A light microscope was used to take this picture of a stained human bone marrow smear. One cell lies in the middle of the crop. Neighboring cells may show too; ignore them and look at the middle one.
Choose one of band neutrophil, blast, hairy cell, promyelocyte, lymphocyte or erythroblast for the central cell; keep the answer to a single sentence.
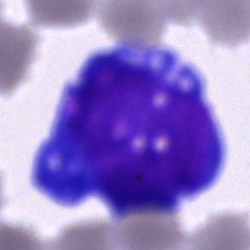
The cell at the central position in this crop is a blast.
